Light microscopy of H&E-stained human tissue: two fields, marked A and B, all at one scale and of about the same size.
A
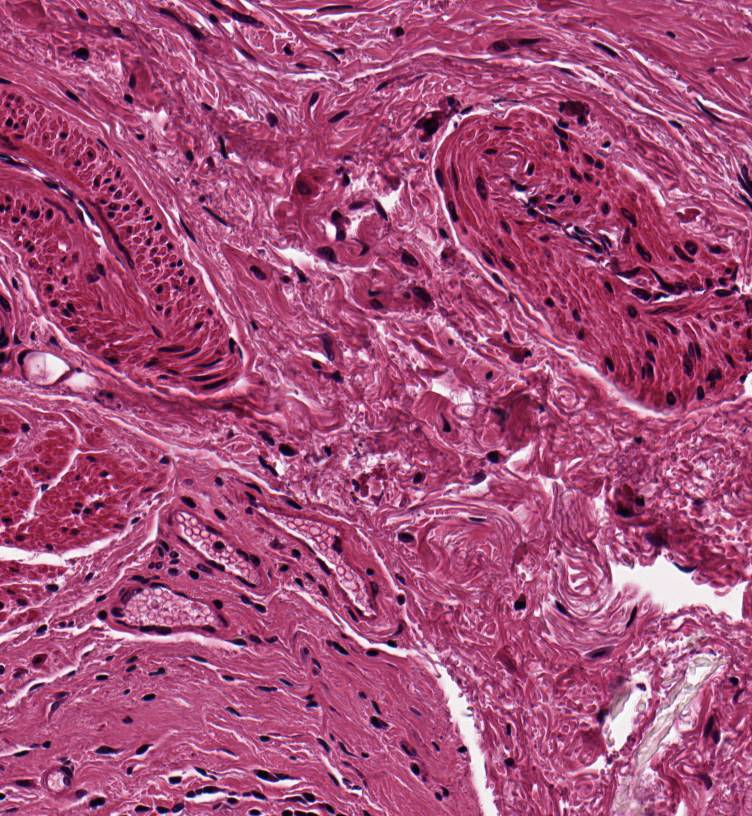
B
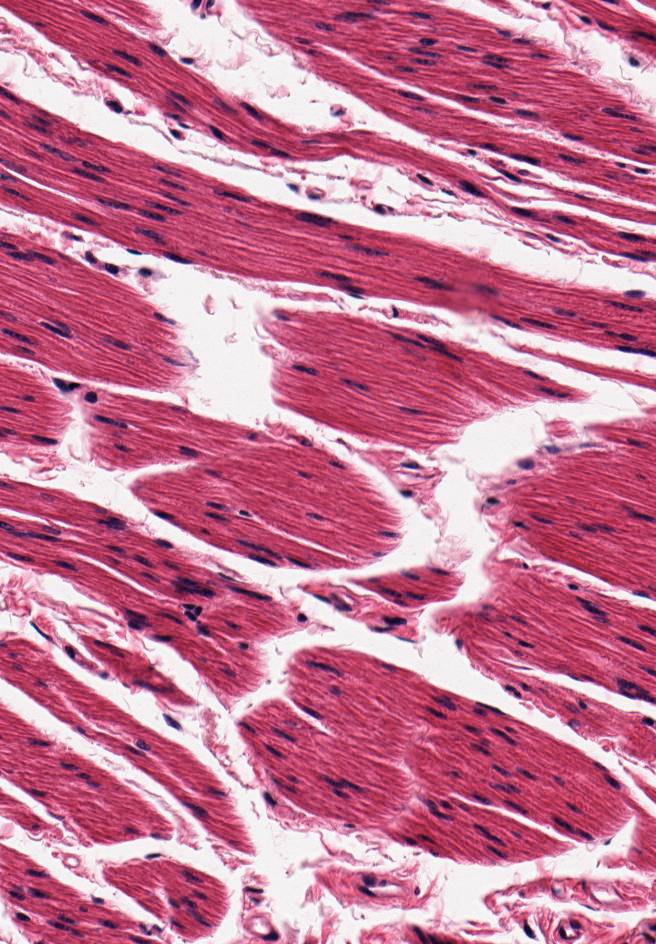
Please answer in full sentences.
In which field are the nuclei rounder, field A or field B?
It is field A whose nuclei are the rounder.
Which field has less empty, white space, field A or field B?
Less of field A is empty and white.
